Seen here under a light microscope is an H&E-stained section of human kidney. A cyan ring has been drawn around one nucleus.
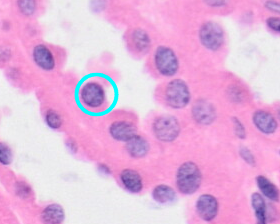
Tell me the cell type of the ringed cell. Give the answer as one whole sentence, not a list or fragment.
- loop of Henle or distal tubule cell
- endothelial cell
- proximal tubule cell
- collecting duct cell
The identity of the ringed cell is that of a loop of Henle or distal tubule cell.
